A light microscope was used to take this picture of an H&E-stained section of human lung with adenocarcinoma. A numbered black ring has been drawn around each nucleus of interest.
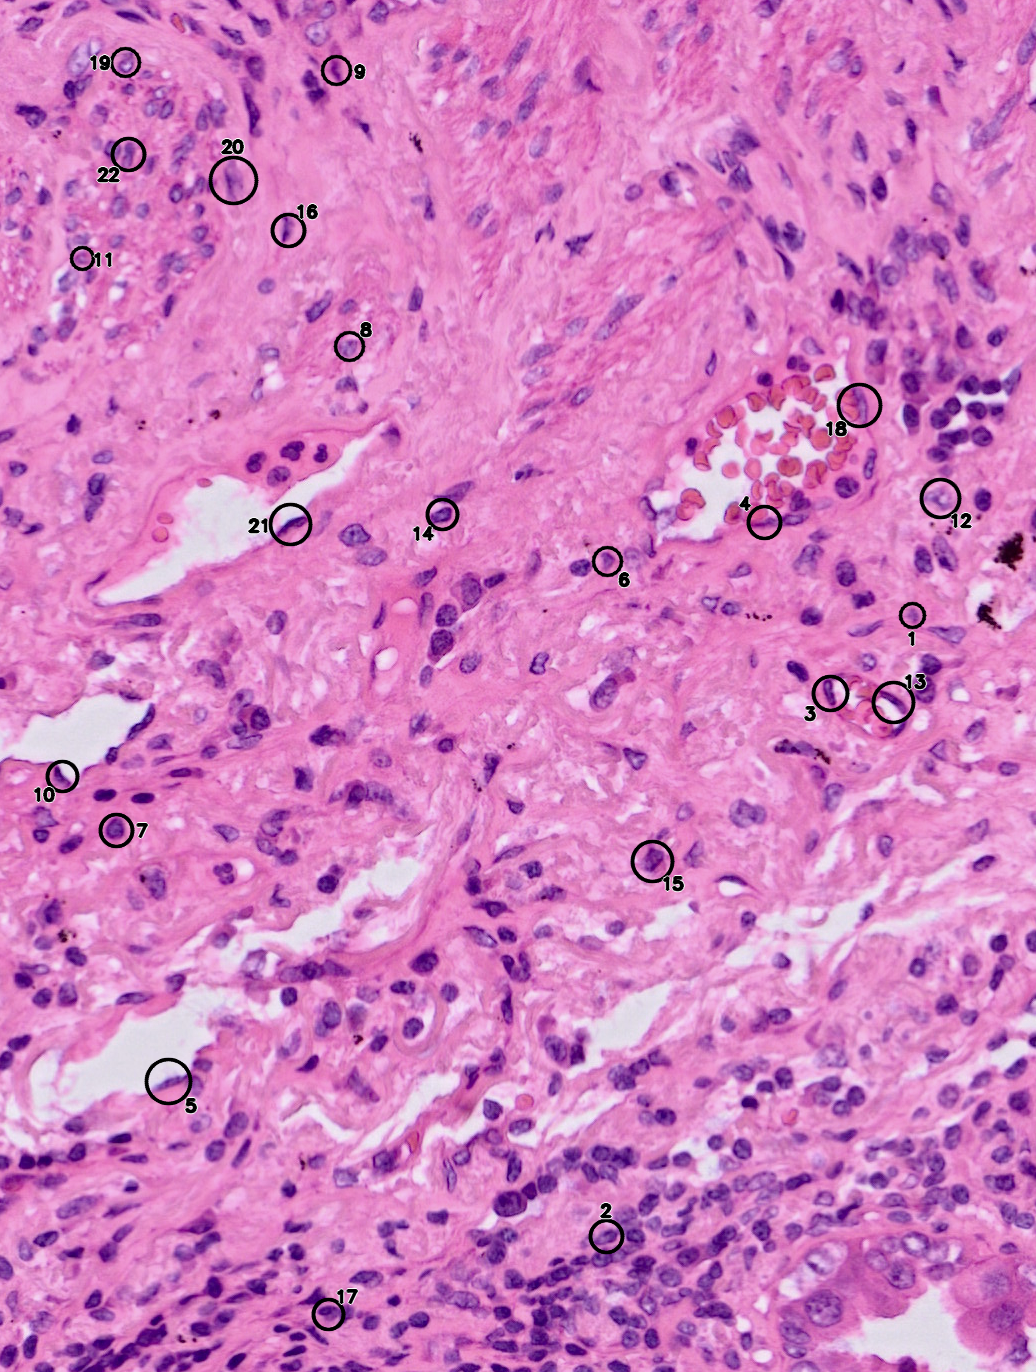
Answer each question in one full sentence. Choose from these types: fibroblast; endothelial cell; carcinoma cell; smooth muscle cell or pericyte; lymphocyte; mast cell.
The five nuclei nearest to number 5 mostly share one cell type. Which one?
Lymphocytes make up most of the five nuclei closest to number 5.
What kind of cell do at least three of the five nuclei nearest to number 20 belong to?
Smooth muscle cells or pericytes make up most of the five nuclei closest to number 20.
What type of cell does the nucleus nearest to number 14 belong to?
The nearest nucleus to number 14 belongs to a fibroblast.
